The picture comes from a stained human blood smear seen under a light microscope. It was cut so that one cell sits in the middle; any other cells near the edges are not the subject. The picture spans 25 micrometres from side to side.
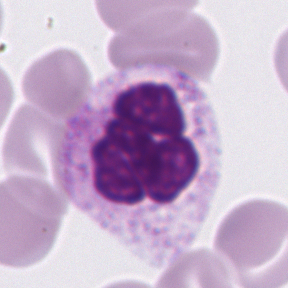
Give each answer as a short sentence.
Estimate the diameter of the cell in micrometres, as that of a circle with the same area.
The cell is about 15 micrometres across.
